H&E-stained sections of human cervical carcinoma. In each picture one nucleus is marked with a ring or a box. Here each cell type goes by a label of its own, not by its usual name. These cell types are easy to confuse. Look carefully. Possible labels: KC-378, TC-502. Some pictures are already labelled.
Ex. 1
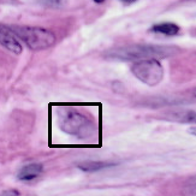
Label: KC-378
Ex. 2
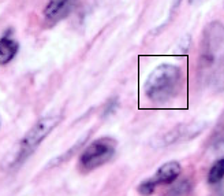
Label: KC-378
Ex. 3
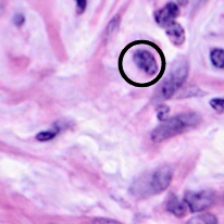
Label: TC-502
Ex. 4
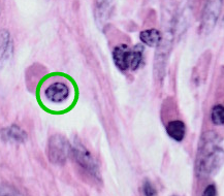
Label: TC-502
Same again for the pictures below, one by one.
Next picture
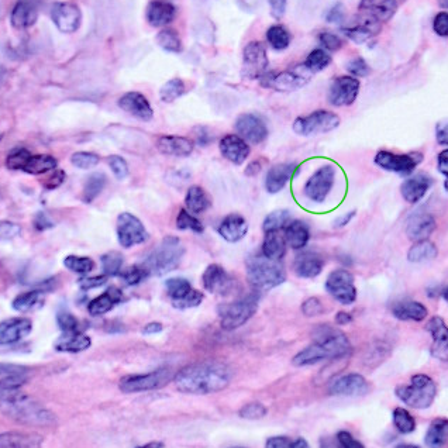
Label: TC-502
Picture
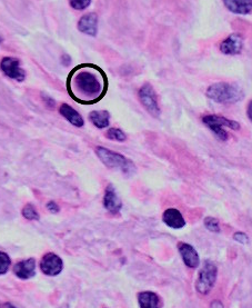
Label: TC-502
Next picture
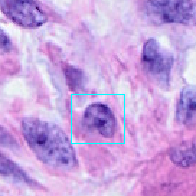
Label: KC-378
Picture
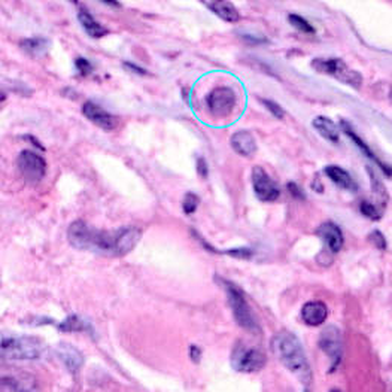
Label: KC-378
